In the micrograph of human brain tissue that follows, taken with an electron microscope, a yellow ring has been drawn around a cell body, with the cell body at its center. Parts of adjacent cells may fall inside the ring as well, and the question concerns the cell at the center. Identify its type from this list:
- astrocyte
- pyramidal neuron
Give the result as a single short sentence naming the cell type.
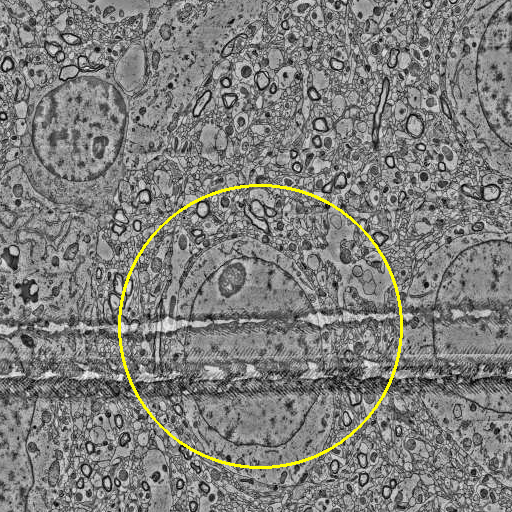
The ring is centered on a pyramidal neuron.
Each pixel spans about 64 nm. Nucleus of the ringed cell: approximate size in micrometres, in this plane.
The nucleus is approximately 12 micrometers long by 9 micrometers wide in this plane.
